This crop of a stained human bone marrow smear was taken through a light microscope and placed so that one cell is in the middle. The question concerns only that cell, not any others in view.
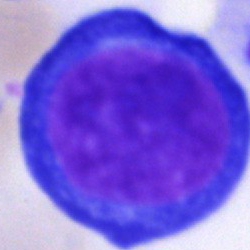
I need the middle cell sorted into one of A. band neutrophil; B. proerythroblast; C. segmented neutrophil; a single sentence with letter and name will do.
The cell in the middle is correctly identified as a proerythroblast in option B.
